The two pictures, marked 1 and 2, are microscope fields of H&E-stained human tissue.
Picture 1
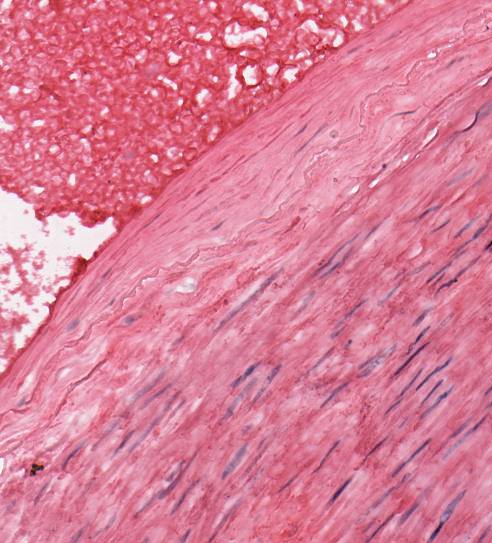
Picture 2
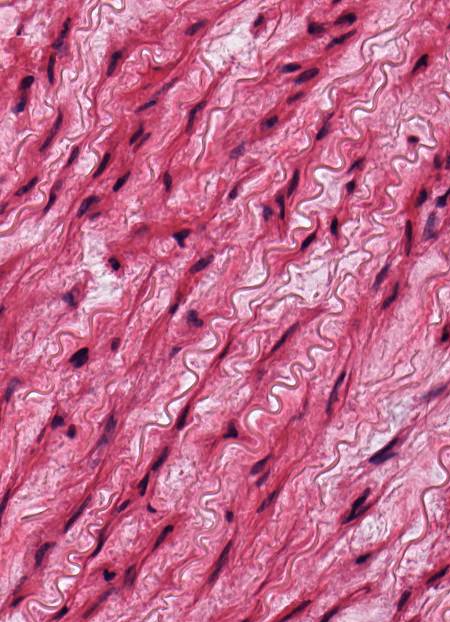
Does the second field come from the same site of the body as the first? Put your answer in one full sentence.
No. Picture 1 comes from the tibial artery, whereas picture 2 comes from the aorta.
